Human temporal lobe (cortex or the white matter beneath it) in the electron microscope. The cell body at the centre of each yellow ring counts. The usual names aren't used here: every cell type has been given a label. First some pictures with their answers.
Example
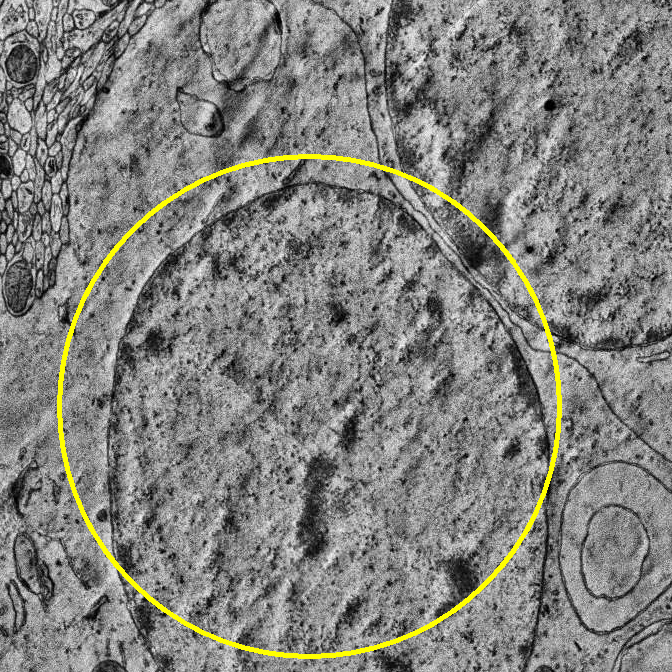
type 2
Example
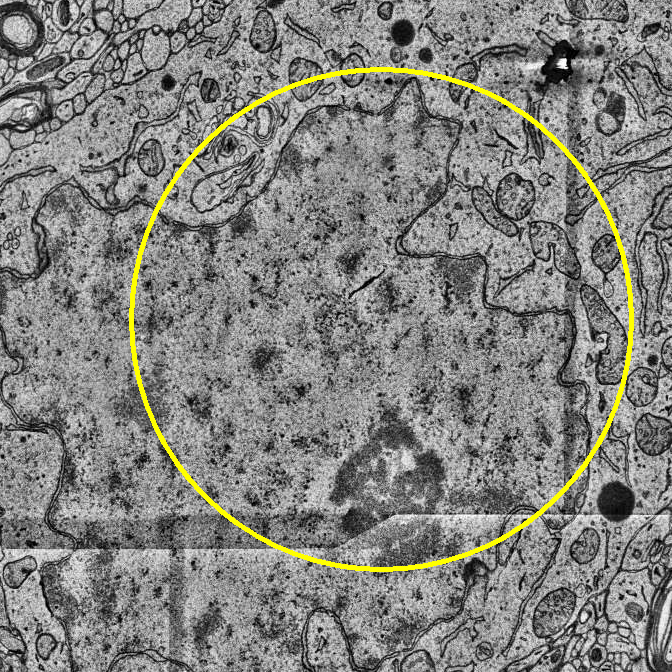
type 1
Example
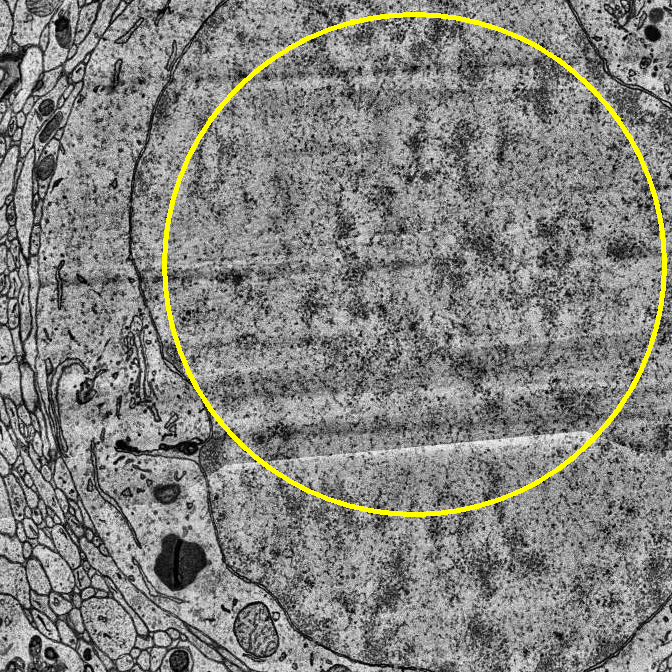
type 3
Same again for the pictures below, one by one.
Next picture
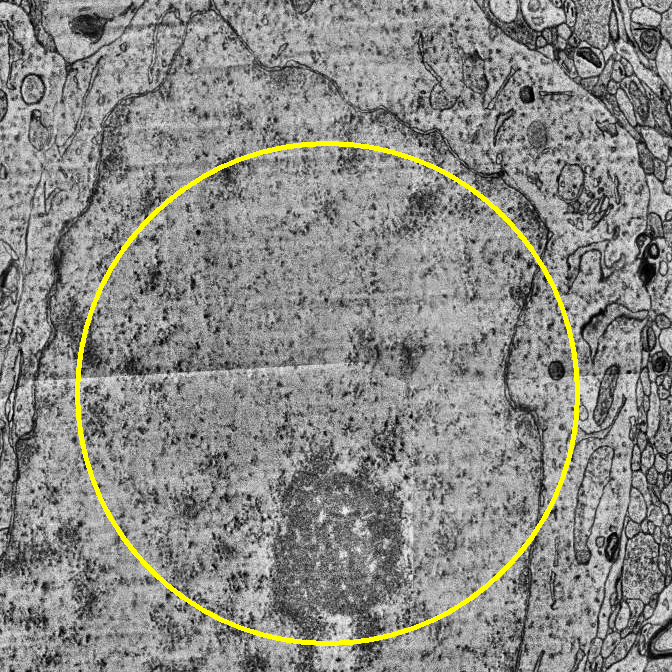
type 1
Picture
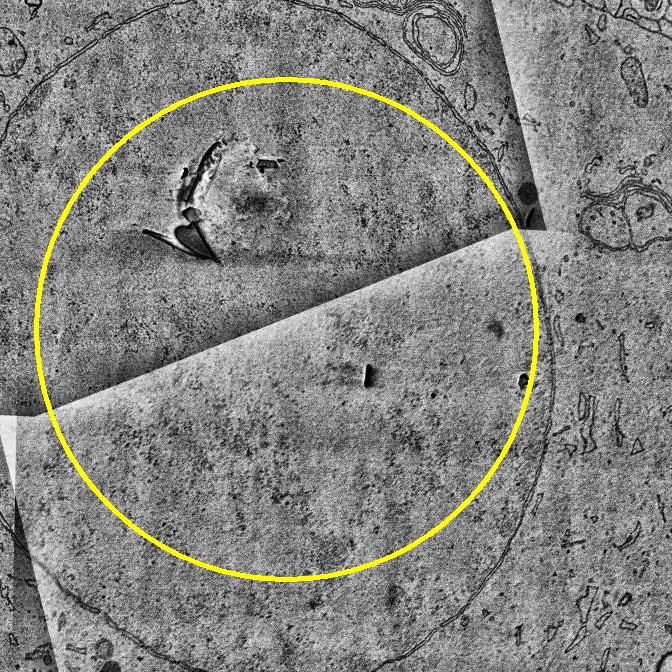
type 3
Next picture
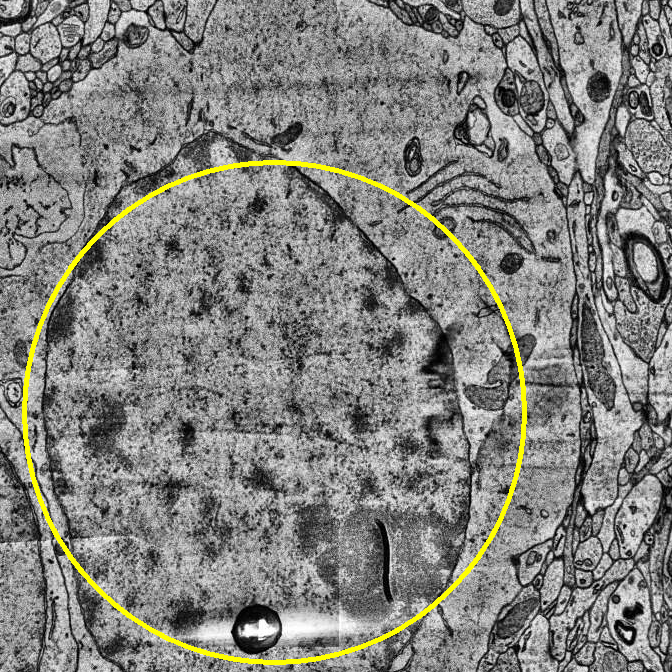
type 2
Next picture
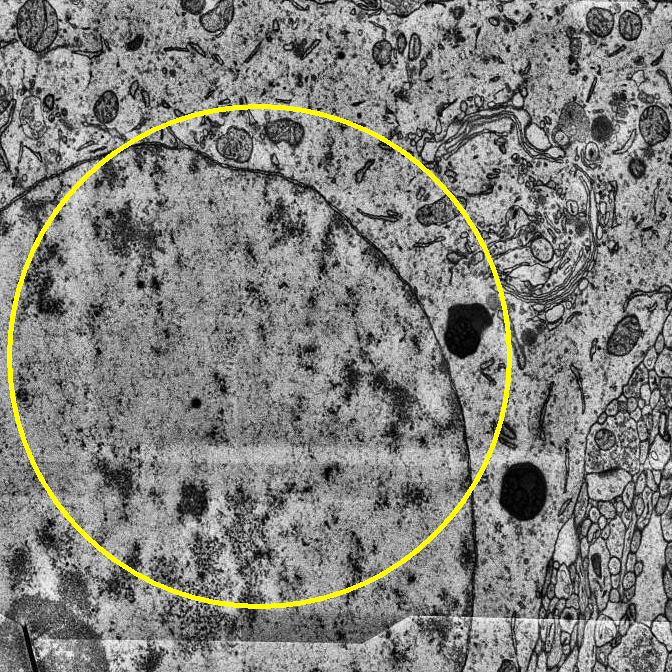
type 3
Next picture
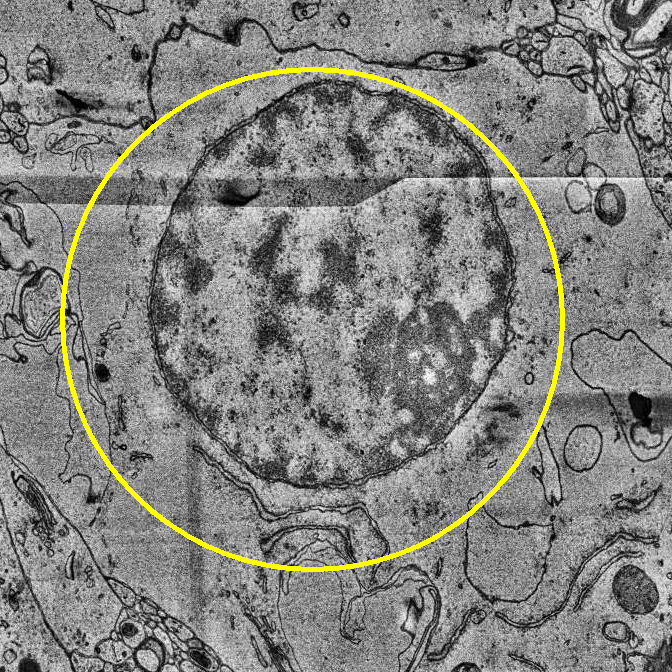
type 2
